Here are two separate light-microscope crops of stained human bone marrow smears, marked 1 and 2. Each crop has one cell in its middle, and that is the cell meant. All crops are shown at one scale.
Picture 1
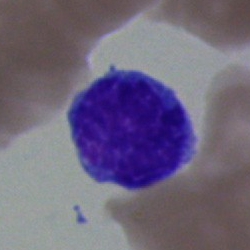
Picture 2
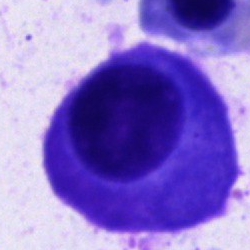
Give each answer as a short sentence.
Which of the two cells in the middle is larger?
The cell in picture 2 is larger, with about 2.5 times the area of the one in picture 1.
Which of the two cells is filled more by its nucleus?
It is the cell in picture 1 that is filled more by its nucleus.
